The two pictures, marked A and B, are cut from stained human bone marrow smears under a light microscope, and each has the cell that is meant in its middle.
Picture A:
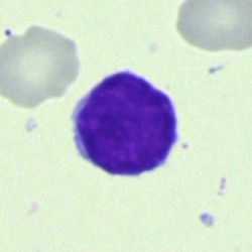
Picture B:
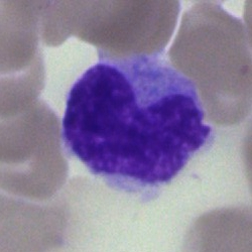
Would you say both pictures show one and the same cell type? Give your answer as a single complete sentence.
No; the cell in picture A is a lymphocyte, while the one in picture B is a monocyte.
